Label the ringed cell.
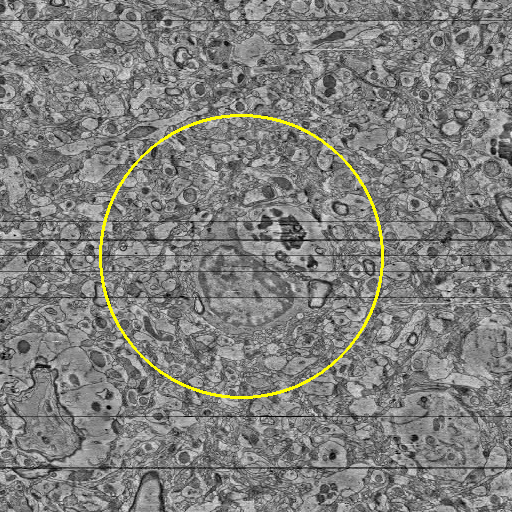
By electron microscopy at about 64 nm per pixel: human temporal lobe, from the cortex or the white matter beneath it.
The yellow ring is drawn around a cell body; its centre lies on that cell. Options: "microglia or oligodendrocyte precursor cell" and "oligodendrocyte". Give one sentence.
The ringed cell is an oligodendrocyte.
